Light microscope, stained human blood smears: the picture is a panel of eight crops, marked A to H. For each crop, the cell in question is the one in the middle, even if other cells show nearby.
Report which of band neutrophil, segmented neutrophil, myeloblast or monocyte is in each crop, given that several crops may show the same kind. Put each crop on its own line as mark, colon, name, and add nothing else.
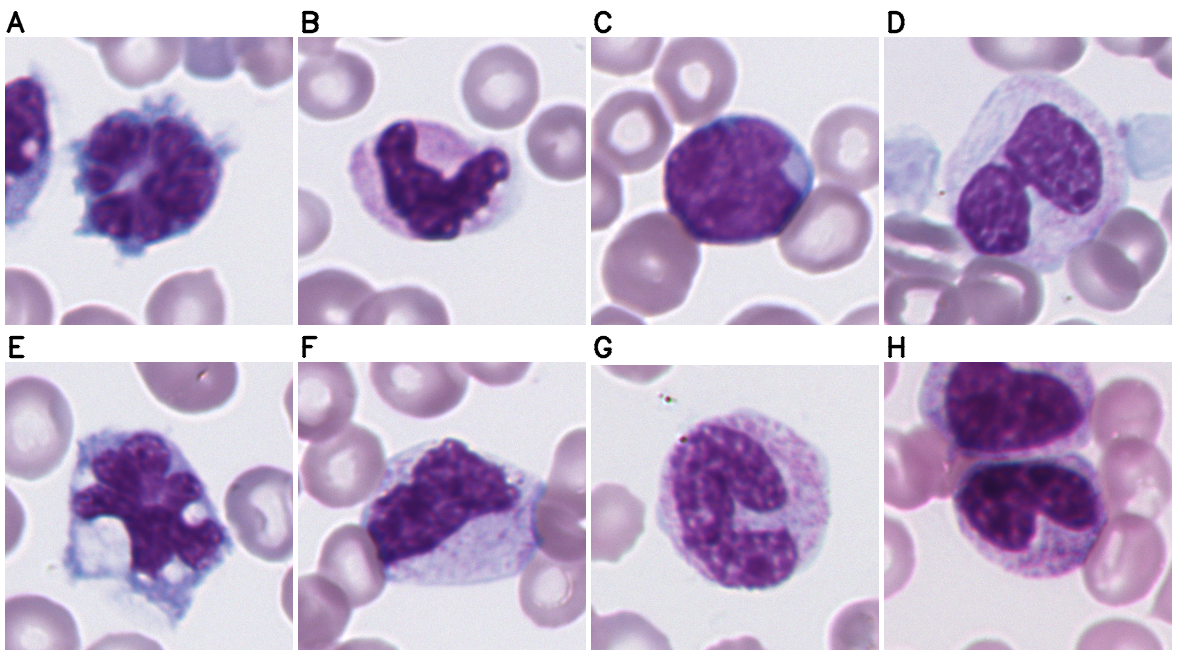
A: monocyte
B: segmented neutrophil
C: myeloblast
D: band neutrophil
E: monocyte
F: band neutrophil
G: band neutrophil
H: band neutrophil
